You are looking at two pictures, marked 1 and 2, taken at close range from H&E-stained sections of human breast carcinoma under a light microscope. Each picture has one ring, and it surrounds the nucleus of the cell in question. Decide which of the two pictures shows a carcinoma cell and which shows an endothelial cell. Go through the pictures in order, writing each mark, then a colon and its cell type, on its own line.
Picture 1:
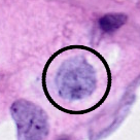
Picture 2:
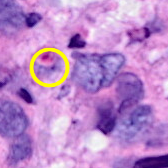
1: carcinoma cell
2: endothelial cell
